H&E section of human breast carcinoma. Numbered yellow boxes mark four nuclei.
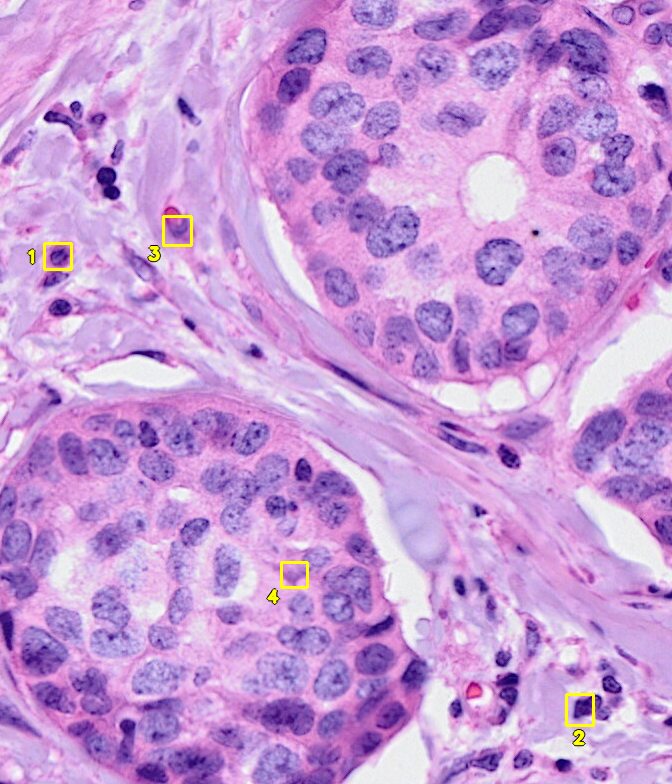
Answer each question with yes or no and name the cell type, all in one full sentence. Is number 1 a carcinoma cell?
No, a mast cell, not a carcinoma cell, is the cell with number 1.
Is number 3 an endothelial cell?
Yes, the cell that has number 3 is an endothelial cell.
